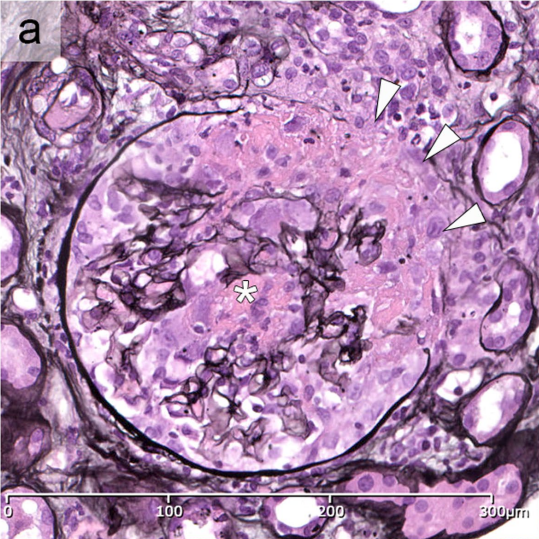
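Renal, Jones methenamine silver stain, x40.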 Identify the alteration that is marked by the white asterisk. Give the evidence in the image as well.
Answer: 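Fibrinoid necrosis. The asterisk lies on a pale pink, smudged, structureless area within the glomerular tuft. Black-stained capillary loops are missing where the asterisk lies.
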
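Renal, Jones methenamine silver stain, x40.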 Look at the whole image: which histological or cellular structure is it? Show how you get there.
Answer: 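Cellular crescent. Layers of cells fill the space between the glomerular tuft and the outer black-stained capsule.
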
